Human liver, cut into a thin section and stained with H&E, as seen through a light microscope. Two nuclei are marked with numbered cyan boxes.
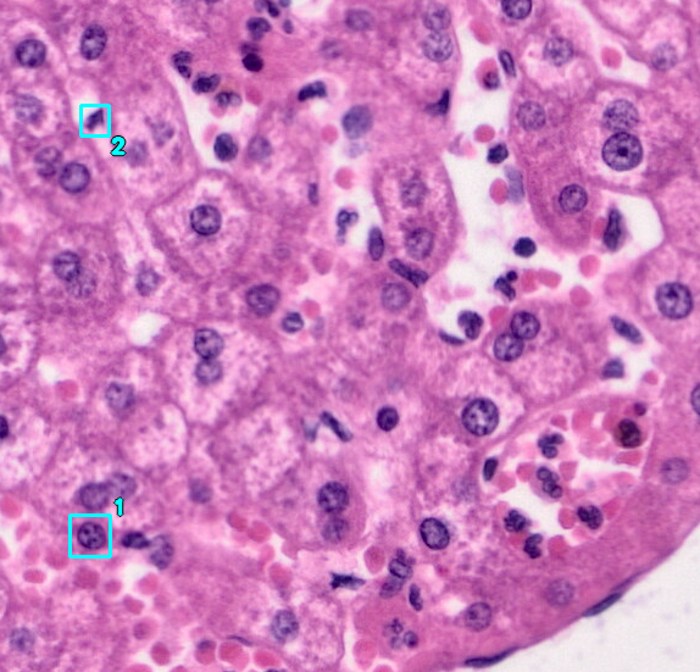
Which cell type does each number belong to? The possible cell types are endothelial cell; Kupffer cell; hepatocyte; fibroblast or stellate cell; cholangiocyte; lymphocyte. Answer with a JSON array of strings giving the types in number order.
["hepatocyte", "endothelial cell"]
